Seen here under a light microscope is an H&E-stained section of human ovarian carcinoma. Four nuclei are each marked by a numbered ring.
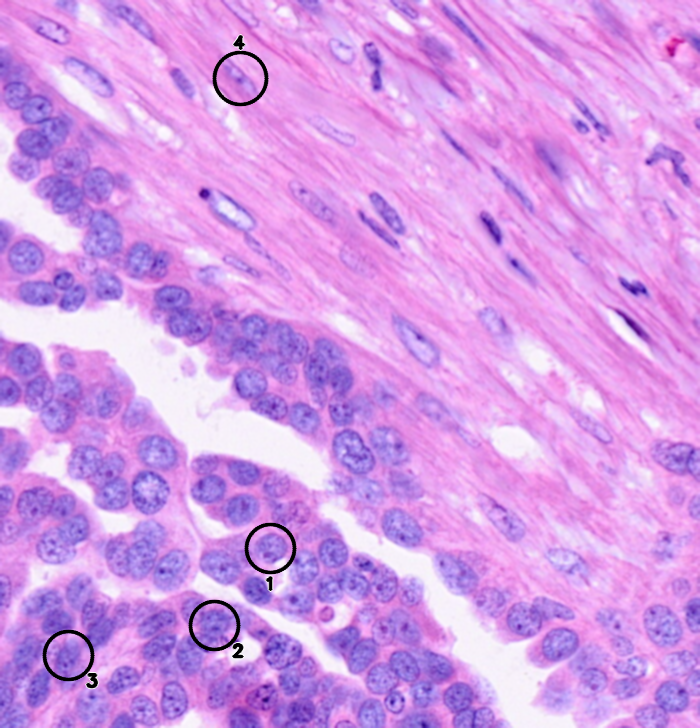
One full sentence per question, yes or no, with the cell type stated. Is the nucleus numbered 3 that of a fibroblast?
No, the cell labelled number 3 is not a fibroblast; it is a carcinoma cell.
